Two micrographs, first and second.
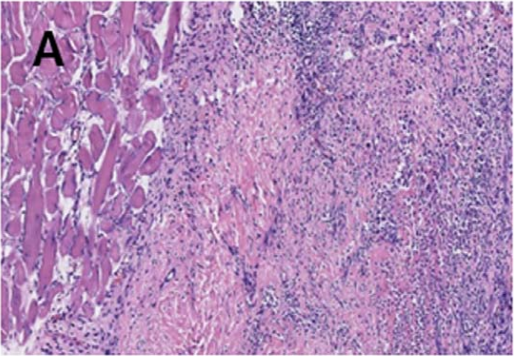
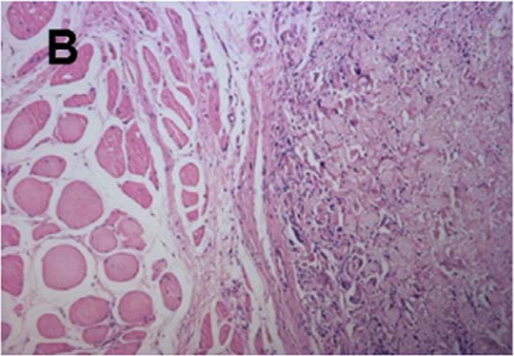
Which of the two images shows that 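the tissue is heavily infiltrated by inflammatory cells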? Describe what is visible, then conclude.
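The first image. Second image: nuclei are moderately scattered among pale pink fibrous tissue beside muscle fibres. First image: large areas are crowded with small dark blue-purple nuclei.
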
